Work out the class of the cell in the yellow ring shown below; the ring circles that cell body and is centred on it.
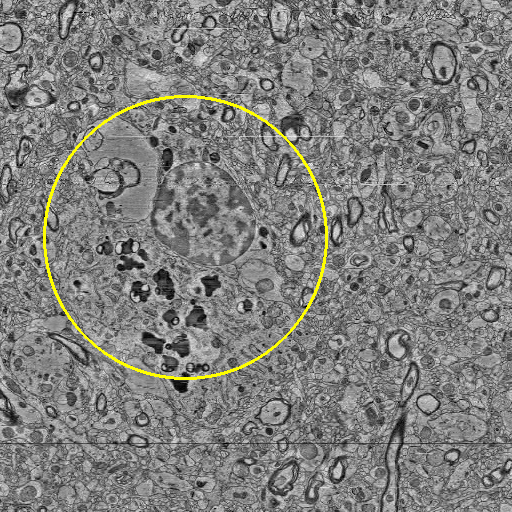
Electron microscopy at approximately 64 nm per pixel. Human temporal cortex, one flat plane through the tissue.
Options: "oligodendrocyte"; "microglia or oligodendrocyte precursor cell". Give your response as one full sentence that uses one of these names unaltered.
The body ringed in yellow, right at the ring's centre, is that of a microglial cell or oligodendrocyte precursor cell.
